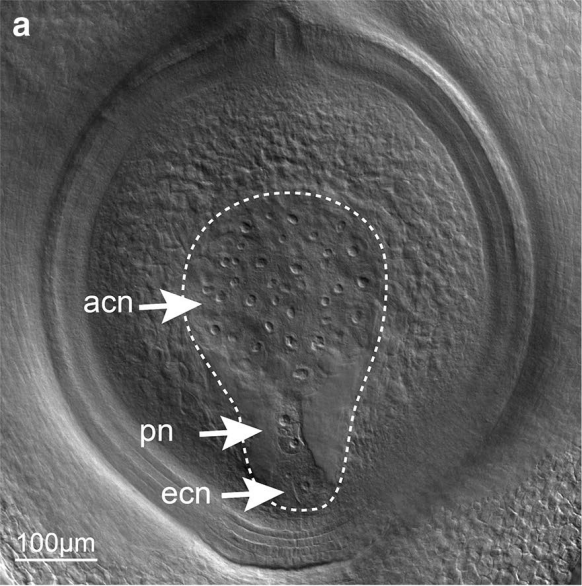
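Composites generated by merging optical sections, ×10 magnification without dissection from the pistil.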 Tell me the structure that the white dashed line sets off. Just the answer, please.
Embryo sac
